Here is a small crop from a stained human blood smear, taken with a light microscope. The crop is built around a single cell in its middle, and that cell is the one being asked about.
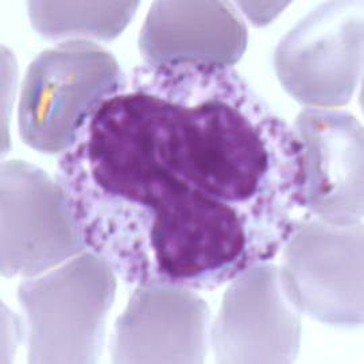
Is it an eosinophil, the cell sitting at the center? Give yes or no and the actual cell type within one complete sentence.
No, the middle of the crop holds a band neutrophil, not an eosinophil.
